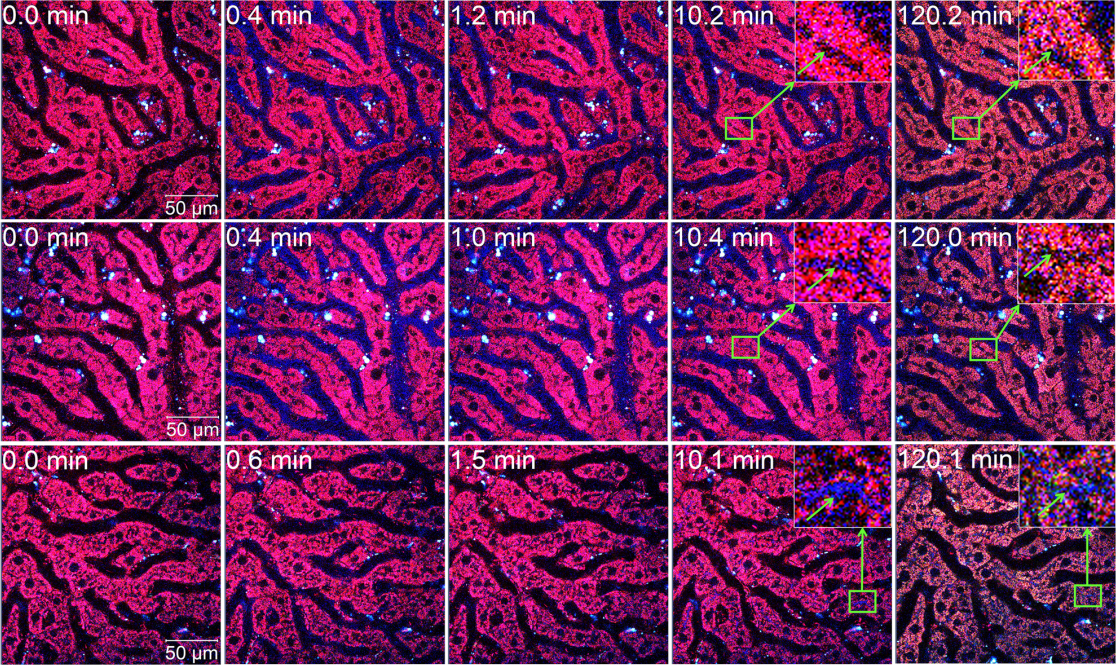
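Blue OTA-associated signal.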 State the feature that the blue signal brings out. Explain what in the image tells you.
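Blood sinusoids. Narrow branching dark channels run between the red cell plates. In the second column these channels are filled with blue.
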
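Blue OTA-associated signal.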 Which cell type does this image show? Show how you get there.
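Large polygonal cells with granular red cytoplasm form branching plates. Round dark nuclei sit within the red cells. The plates are separated by narrow channels. That points to this answer: hepatocyte.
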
